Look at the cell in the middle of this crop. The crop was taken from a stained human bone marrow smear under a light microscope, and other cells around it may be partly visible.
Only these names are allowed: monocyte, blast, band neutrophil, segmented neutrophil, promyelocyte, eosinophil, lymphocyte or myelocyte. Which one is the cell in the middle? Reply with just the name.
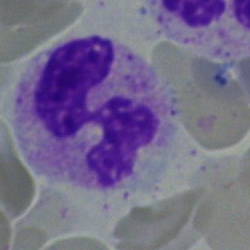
segmented neutrophil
